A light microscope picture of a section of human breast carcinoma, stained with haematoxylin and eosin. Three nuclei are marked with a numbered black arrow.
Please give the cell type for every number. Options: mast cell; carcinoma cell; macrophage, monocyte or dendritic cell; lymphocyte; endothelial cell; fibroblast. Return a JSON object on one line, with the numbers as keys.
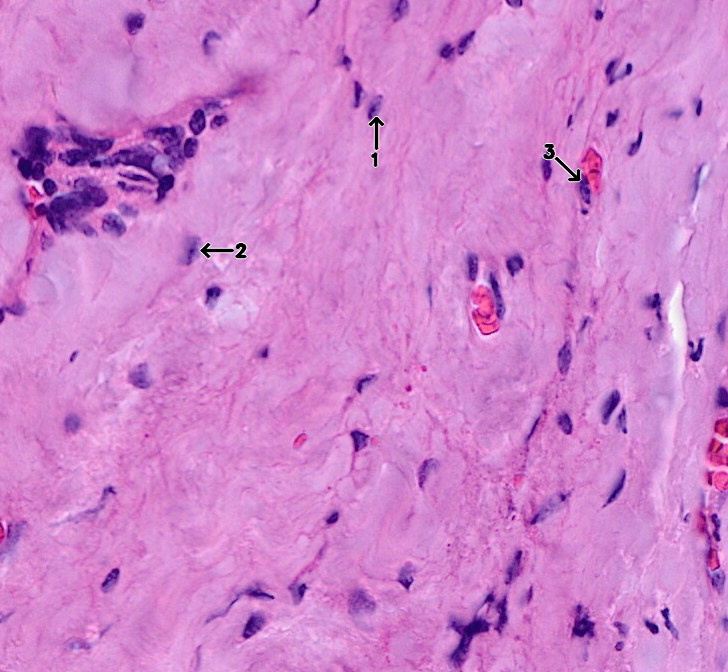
{"1": "fibroblast", "2": "fibroblast", "3": "endothelial cell"}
